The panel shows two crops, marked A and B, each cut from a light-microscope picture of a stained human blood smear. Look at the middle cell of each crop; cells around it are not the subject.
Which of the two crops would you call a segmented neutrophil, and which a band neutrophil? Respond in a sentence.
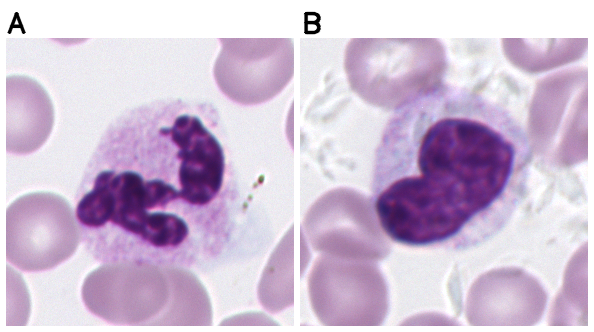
There is a segmented neutrophil in crop A and a band neutrophil in crop B.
